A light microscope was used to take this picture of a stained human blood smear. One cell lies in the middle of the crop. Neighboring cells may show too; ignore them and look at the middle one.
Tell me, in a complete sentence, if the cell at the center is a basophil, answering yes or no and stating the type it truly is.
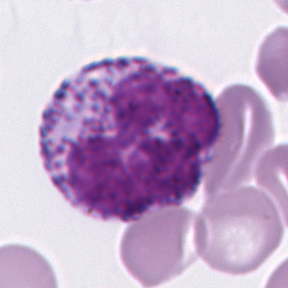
Yes, the centred cell is categorised as a basophil.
